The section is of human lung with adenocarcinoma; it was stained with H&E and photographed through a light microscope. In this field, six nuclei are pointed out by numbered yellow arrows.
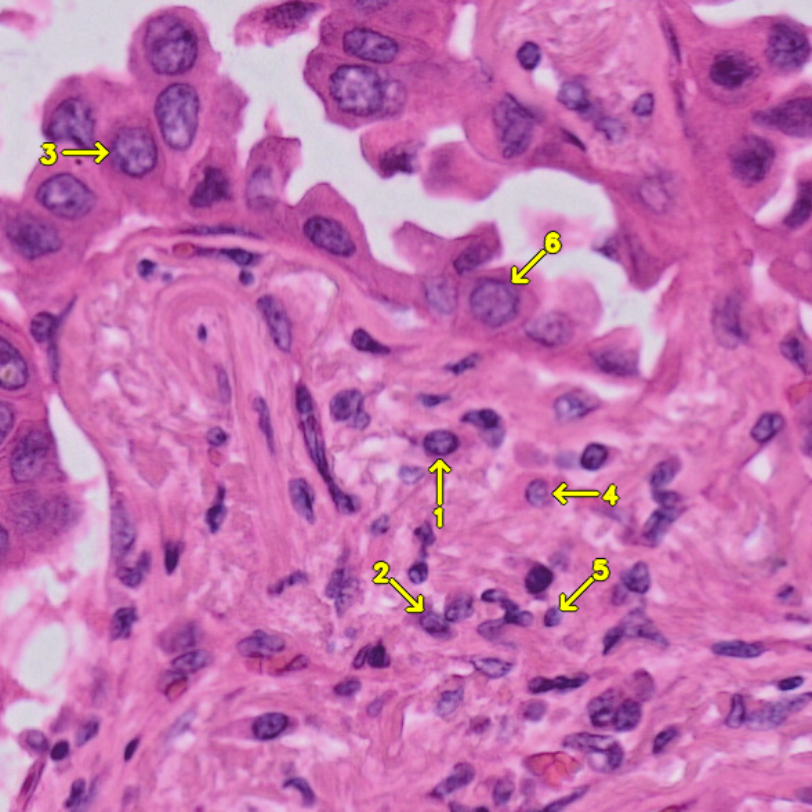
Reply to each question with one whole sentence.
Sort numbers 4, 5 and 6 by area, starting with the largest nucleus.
The nuclei rank 6, 4, 5, from largest to smallest.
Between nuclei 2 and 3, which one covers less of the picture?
Nucleus 2 covers less area, with nucleus 3 about 3 times as large.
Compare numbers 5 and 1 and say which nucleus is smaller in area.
The smaller nucleus is 5, and 1 covers roughly 2.5 times its area.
